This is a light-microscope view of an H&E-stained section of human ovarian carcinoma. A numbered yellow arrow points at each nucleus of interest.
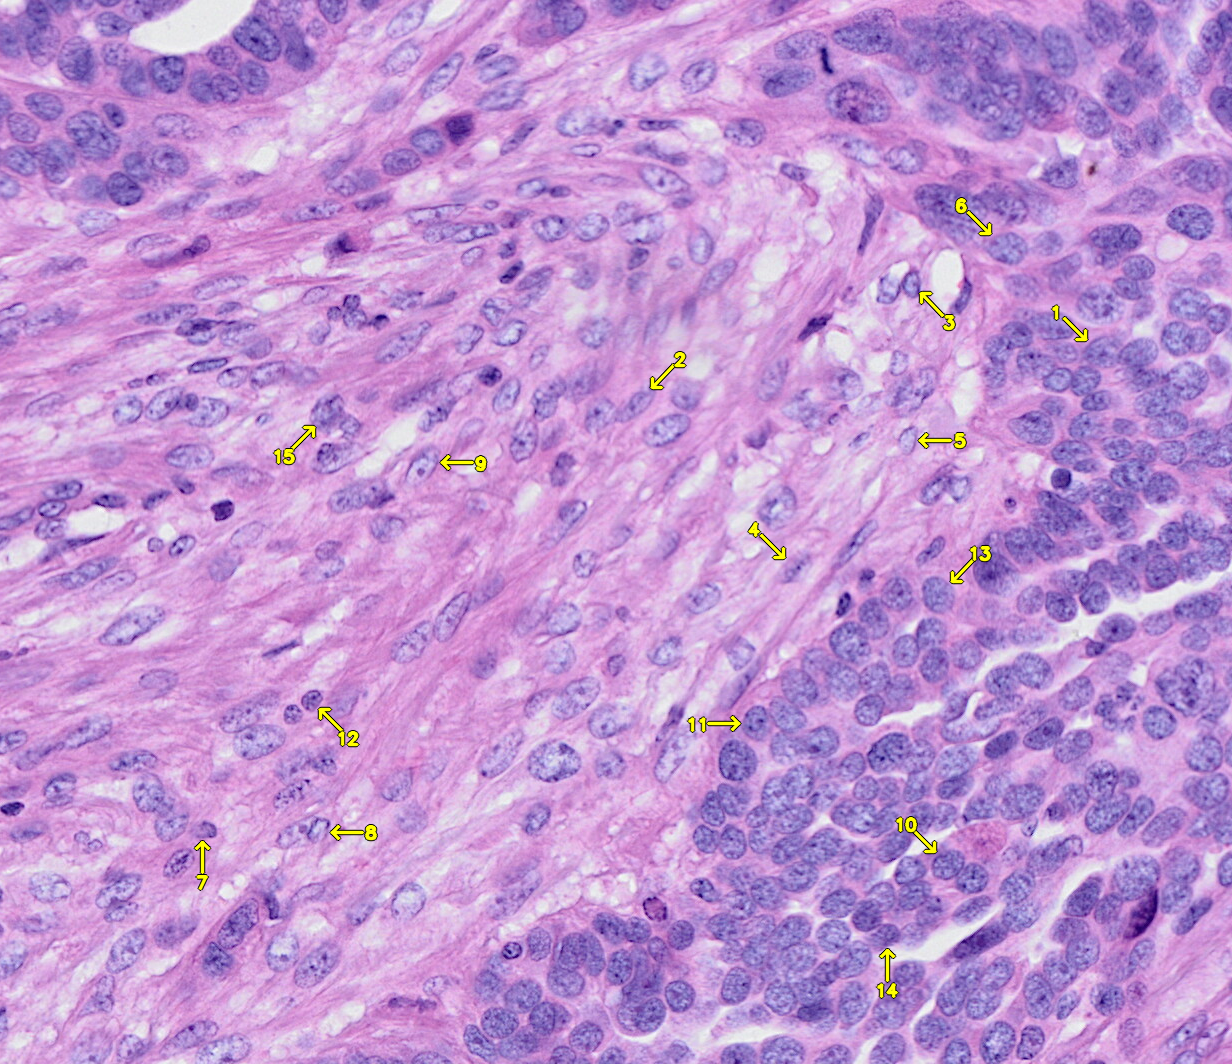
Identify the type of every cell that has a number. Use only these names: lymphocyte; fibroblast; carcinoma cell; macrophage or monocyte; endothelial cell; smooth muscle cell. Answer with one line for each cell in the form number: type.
1: carcinoma cell
2: fibroblast
3: fibroblast
4: fibroblast
5: fibroblast
6: carcinoma cell
7: macrophage or monocyte
8: fibroblast
9: fibroblast
10: carcinoma cell
11: carcinoma cell
12: lymphocyte
13: carcinoma cell
14: carcinoma cell
15: fibroblast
